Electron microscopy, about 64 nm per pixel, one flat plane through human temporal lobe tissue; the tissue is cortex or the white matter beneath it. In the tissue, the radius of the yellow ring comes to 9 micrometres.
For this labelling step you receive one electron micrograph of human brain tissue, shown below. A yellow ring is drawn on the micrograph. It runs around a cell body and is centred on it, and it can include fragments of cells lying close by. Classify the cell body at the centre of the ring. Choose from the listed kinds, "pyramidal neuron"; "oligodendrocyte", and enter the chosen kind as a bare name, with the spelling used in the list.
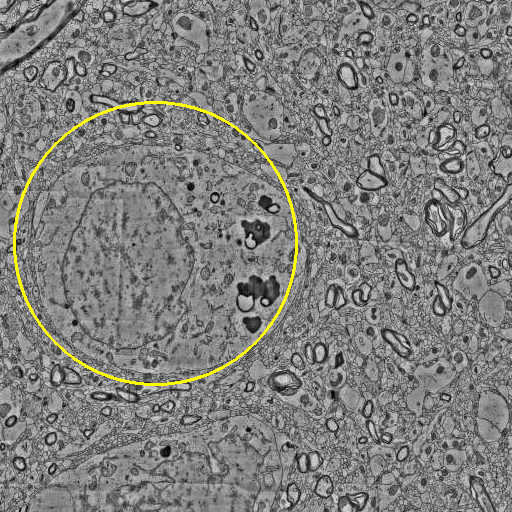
pyramidal neuron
